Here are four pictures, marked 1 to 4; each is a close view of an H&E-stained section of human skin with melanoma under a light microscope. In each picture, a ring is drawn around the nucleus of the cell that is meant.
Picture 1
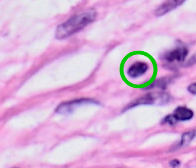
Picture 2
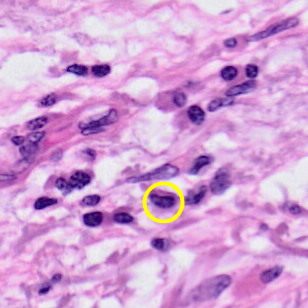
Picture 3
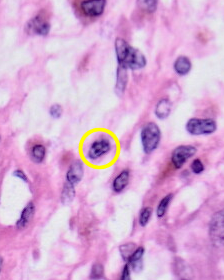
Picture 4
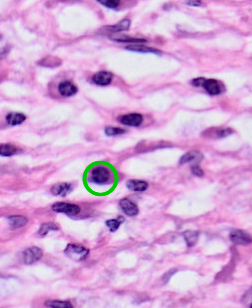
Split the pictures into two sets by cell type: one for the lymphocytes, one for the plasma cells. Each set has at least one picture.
1: lymphocyte
2: plasma cell
3: plasma cell
4: plasma cell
